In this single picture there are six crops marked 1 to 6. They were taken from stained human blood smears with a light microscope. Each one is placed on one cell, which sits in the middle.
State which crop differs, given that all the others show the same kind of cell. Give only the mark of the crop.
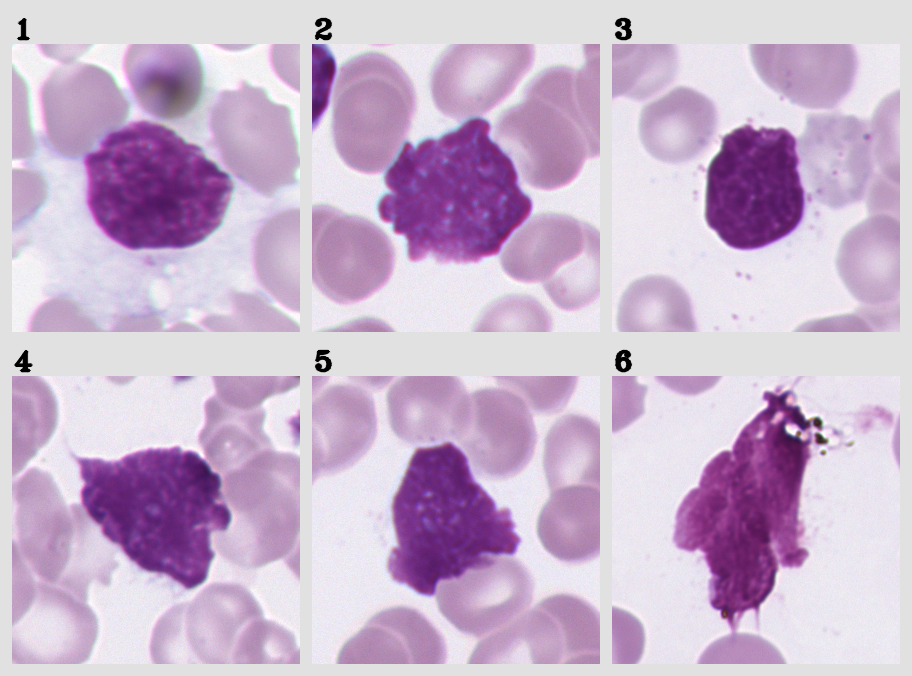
1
